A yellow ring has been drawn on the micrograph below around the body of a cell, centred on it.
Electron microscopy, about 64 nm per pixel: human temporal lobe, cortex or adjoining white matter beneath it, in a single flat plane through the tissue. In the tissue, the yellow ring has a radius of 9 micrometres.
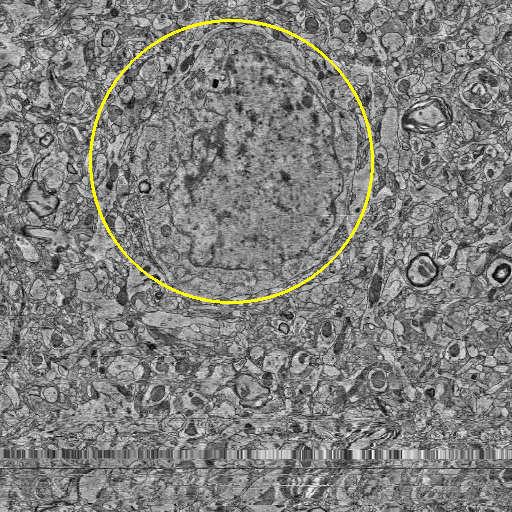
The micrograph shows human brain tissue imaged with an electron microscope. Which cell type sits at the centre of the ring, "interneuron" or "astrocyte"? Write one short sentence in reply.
The cell sitting at the centre of the ring is an interneuron.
